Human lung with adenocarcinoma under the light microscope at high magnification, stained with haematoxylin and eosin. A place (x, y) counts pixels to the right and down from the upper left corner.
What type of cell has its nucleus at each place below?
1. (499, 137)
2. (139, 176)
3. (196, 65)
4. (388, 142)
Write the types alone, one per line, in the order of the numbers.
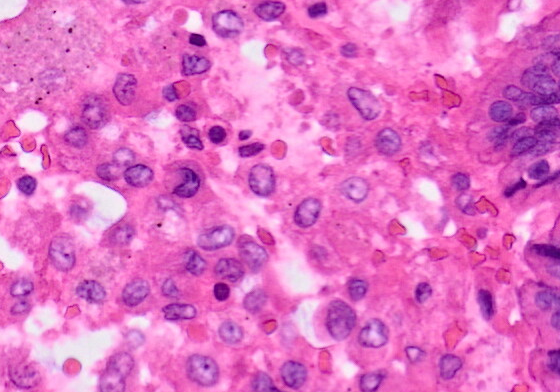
ciliated epithelial cell
macrophage or monocyte
macrophage or monocyte
macrophage or monocyte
